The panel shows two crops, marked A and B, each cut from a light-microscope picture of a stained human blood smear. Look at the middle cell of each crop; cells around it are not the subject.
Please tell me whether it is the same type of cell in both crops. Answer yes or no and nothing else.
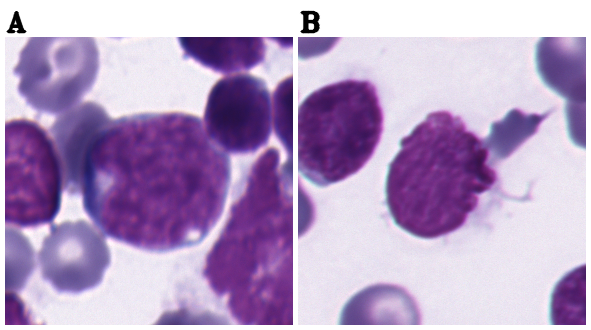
no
